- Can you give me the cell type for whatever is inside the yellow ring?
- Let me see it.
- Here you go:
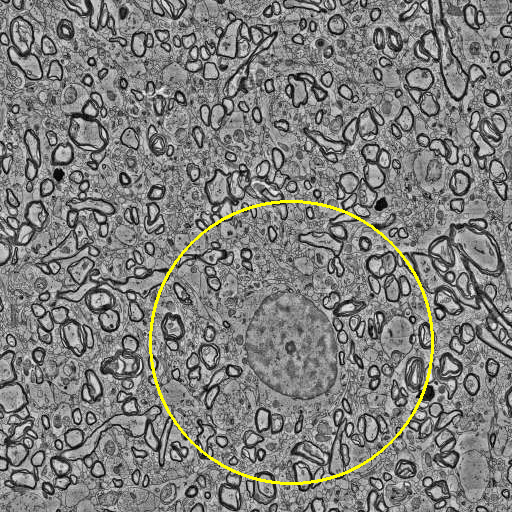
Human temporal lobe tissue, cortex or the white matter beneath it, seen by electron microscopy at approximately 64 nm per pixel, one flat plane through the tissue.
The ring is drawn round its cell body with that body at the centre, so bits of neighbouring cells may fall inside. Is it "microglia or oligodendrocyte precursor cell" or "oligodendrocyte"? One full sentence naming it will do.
The cell body in the middle of the ring in this picture belongs to an oligodendrocyte.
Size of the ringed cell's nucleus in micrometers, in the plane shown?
The ringed cell's nucleus is about 7 micrometres across in this plane.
